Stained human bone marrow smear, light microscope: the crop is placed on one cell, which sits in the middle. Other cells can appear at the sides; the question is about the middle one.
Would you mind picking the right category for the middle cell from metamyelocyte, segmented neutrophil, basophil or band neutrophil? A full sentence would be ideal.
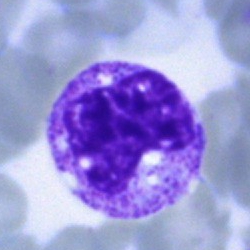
The cell featured at the centre of this crop is a metamyelocyte.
